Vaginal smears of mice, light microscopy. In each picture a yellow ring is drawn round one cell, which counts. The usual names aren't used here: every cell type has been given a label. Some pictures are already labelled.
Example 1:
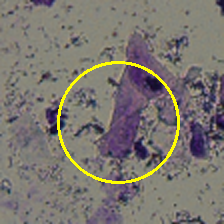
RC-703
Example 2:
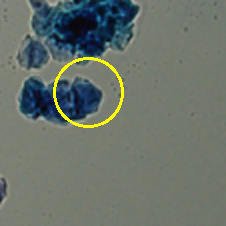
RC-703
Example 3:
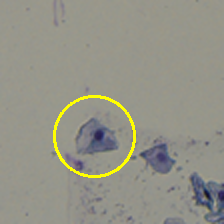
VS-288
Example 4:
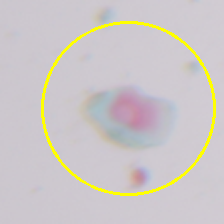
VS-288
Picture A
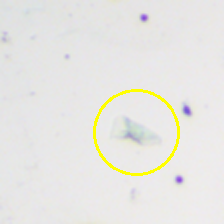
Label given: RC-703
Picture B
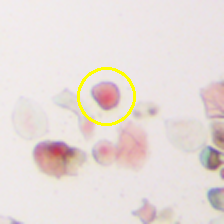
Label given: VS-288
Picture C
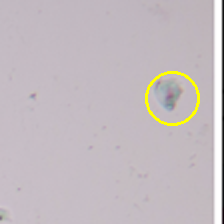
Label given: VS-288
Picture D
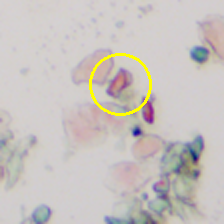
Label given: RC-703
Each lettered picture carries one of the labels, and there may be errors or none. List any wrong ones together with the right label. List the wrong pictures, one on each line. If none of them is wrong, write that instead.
Every label is right.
